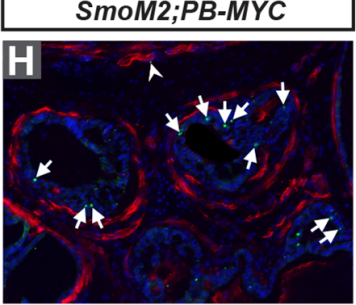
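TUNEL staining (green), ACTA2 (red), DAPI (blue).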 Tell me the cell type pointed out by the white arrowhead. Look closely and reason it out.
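The arrowhead points to a spot within the red-stained band between glands, away from the gland lining. That points to this answer: stromal cells.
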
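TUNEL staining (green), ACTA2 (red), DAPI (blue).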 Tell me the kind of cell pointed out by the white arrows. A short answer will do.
Epithelial cells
